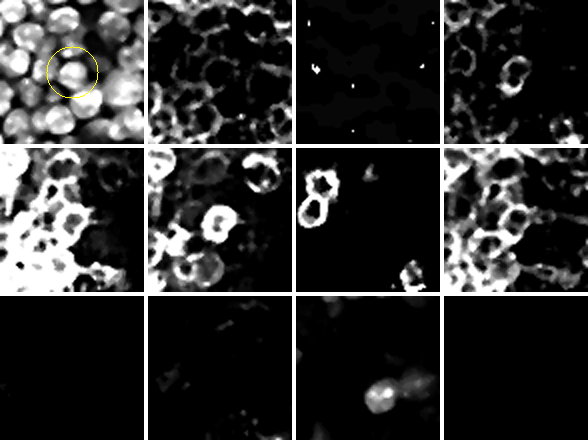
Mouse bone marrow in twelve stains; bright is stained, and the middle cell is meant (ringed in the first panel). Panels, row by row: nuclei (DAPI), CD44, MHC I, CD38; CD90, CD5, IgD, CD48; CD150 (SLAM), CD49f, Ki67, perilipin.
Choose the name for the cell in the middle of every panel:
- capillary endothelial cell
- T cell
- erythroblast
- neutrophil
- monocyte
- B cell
T cell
